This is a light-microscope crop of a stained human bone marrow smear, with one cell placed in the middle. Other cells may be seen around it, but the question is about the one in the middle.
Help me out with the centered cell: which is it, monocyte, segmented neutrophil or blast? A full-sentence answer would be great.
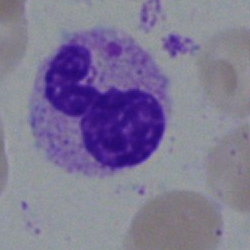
The centrally placed cell is classified as a segmented neutrophil.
